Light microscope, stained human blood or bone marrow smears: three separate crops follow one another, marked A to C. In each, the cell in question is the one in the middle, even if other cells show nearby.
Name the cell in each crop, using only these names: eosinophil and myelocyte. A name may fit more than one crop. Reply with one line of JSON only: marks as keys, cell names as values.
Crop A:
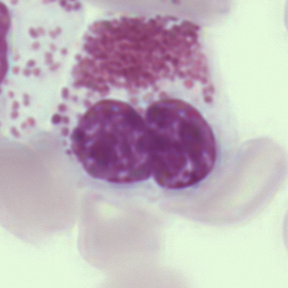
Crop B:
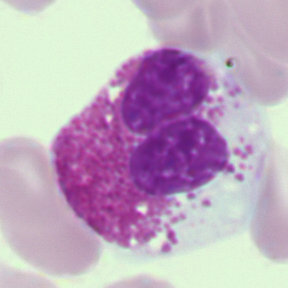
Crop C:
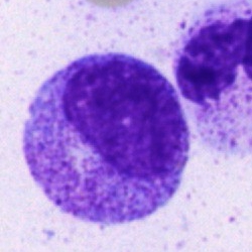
{"A": "eosinophil", "B": "eosinophil", "C": "myelocyte"}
